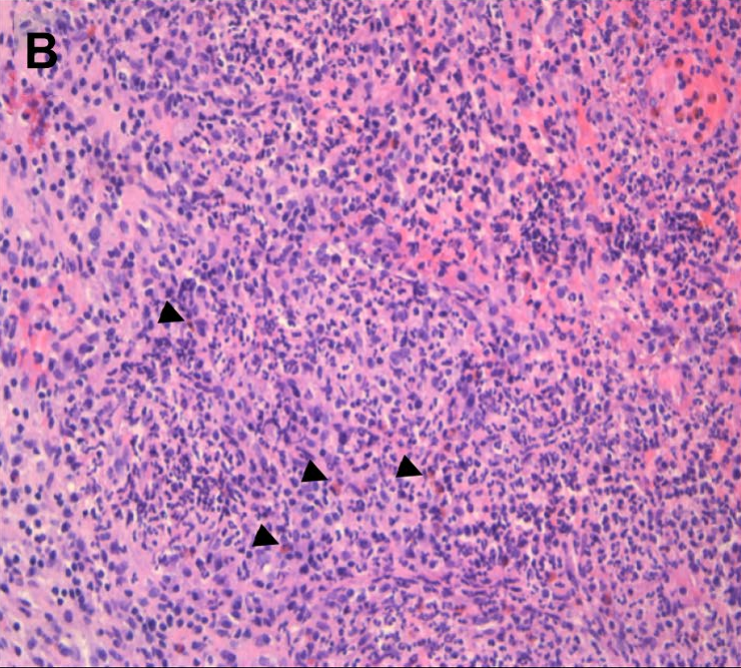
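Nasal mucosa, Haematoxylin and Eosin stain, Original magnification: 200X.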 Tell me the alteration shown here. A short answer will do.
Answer: Chronic inflammatory infiltrate.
